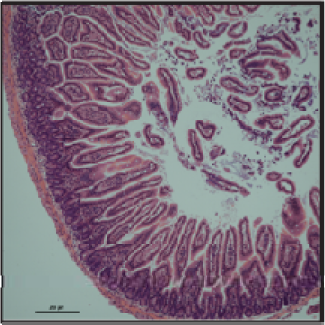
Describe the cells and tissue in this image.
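This is a cross-section through the wall of the small intestine, stained pink and purple. A thin pink outer muscular layer curves along the edge of the section. Inside it lies a dense purple band of glandular crypts. From this band, numerous slender finger-like villi project toward a central pale lumen. The villi are covered by a lining of epithelium whose nuclei give them dark purple borders, and each has a paler core. Some loose fragments of villi and strands of material lie free within the lumen.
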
